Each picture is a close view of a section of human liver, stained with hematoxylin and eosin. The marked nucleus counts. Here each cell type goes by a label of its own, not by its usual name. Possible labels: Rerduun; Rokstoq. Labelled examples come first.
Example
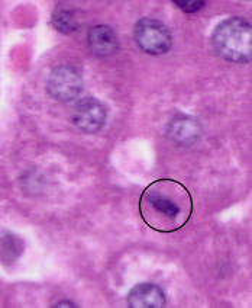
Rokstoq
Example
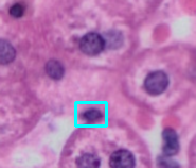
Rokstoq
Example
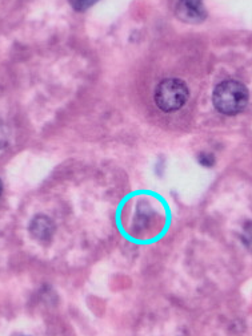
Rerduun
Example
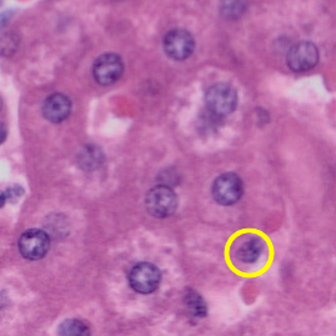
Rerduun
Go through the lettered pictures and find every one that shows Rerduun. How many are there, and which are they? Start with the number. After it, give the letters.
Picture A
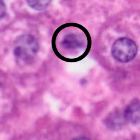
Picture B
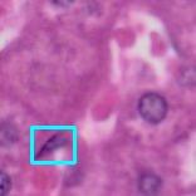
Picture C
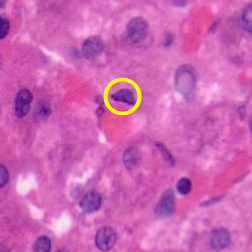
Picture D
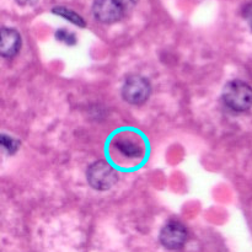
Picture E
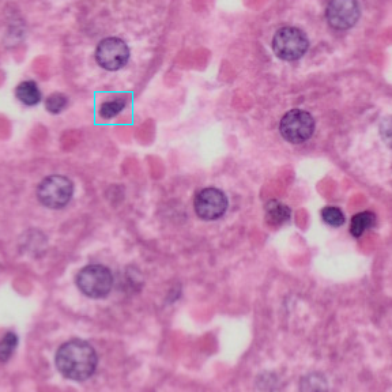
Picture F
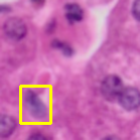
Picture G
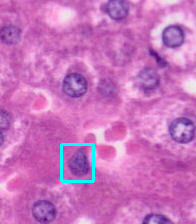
Count: 3 (A, B, F)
